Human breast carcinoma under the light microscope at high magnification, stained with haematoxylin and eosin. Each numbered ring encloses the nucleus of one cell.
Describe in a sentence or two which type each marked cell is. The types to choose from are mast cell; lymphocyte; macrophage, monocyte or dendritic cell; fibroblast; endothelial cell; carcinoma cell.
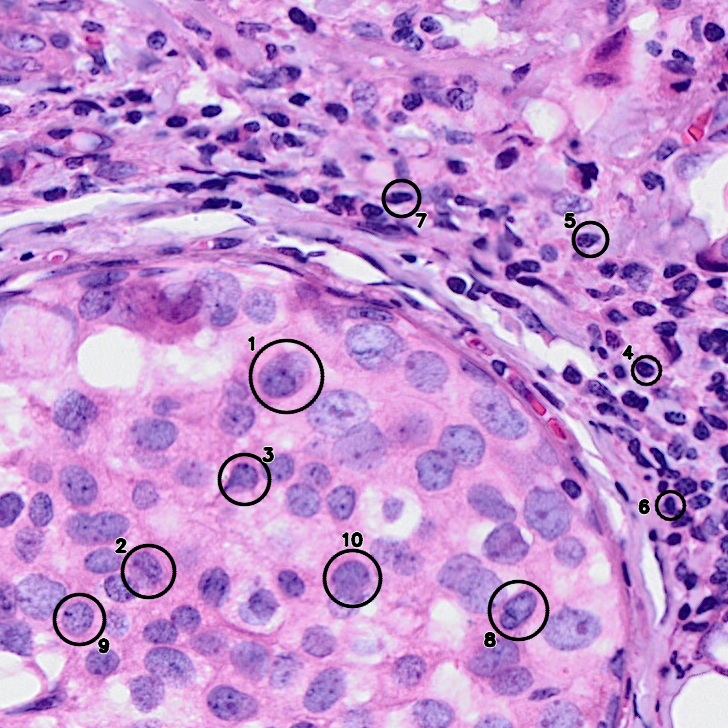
Cell 1 is a carcinoma cell, cell 2 is a carcinoma cell, cell 3 is a carcinoma cell, cell 4 is a lymphocyte, cell 5 is a lymphocyte, cell 6 is a lymphocyte, cell 7 is a lymphocyte, cell 8 is a carcinoma cell, cell 9 is a carcinoma cell and cell 10 is a carcinoma cell.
